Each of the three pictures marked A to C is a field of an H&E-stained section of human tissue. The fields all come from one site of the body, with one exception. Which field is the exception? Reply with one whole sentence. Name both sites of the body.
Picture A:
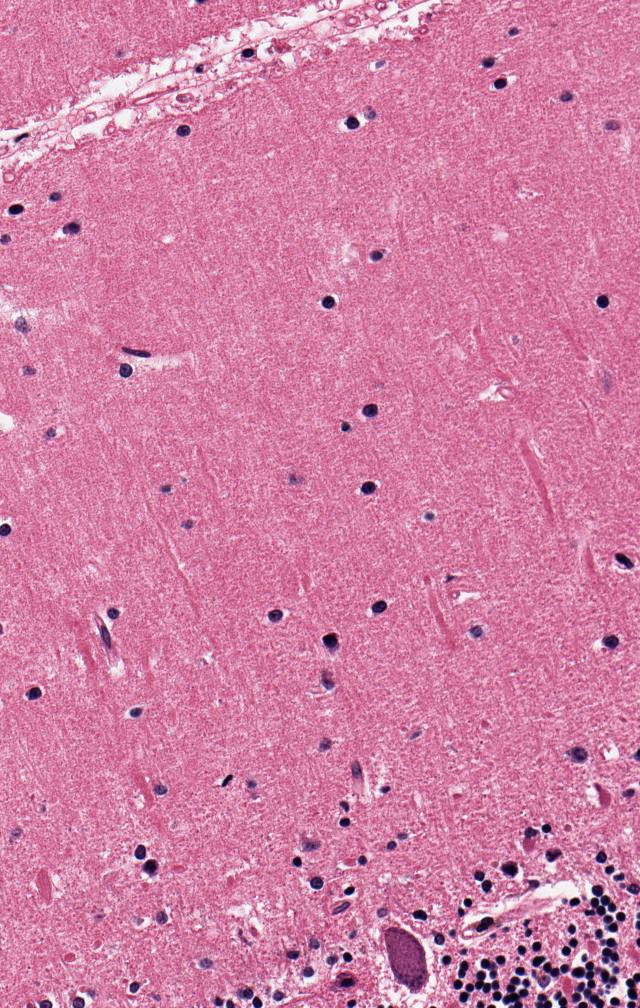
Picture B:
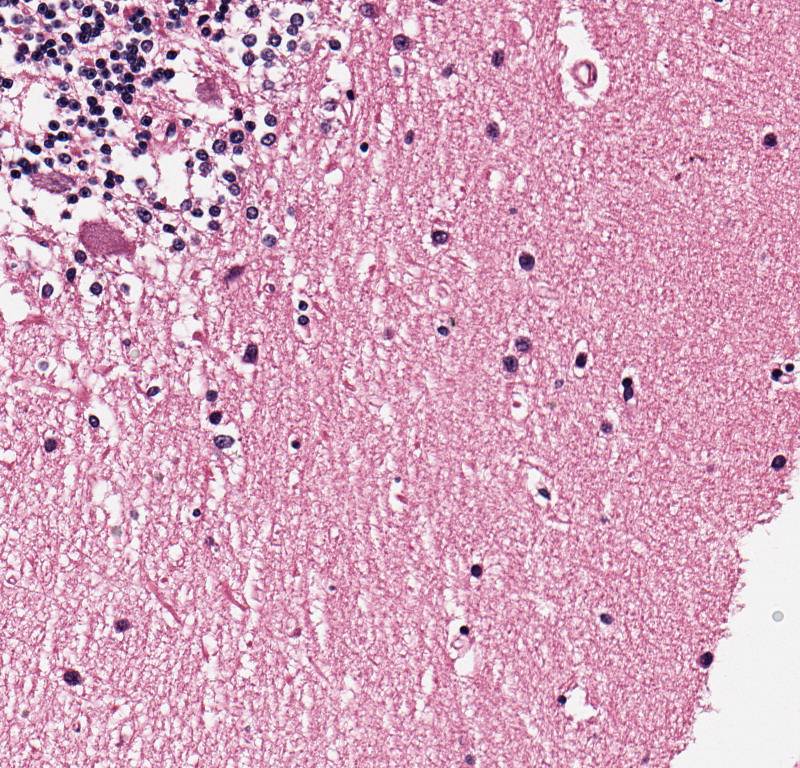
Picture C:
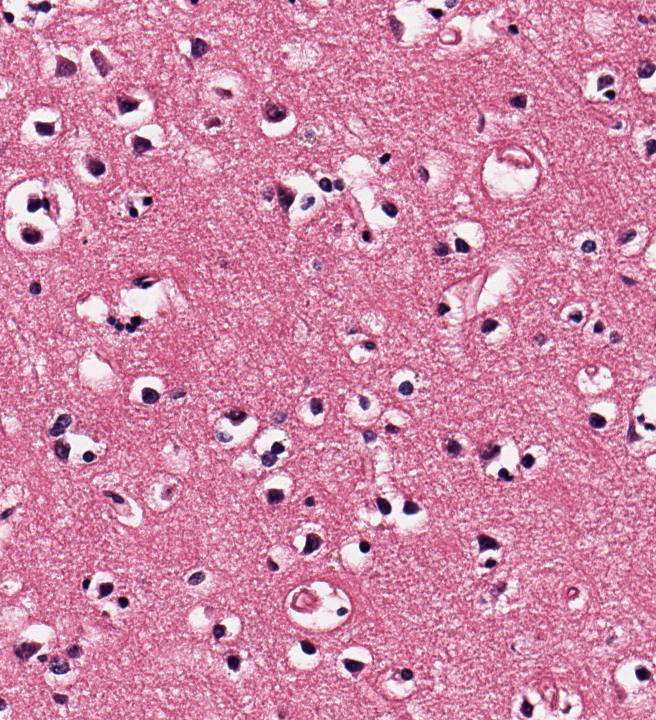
The others come from the cerebellum, but picture C comes from the cerebral cortex.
